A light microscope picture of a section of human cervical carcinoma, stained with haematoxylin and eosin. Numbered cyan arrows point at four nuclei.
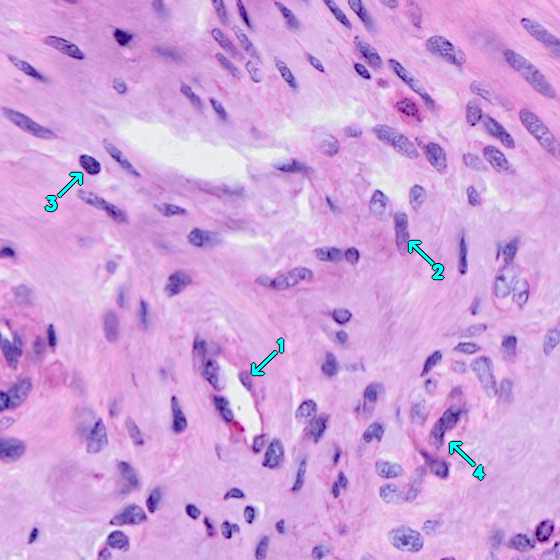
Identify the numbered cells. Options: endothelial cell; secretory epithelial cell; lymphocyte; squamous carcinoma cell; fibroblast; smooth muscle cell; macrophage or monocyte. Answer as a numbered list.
1. endothelial cell
2. smooth muscle cell
3. lymphocyte
4. endothelial cell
